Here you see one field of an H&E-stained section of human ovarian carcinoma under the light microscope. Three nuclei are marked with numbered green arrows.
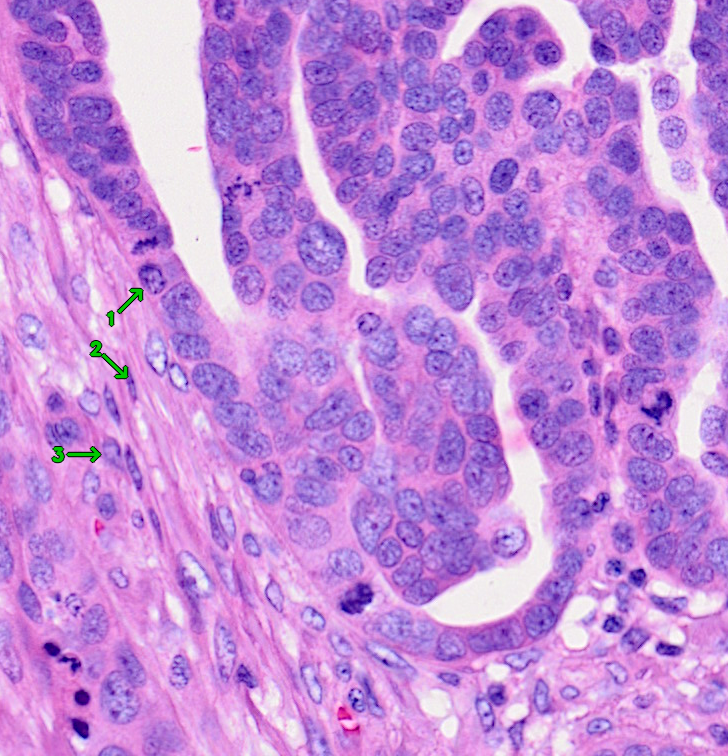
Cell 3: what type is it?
fibroblast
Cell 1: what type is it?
macrophage or monocyte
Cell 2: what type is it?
fibroblast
